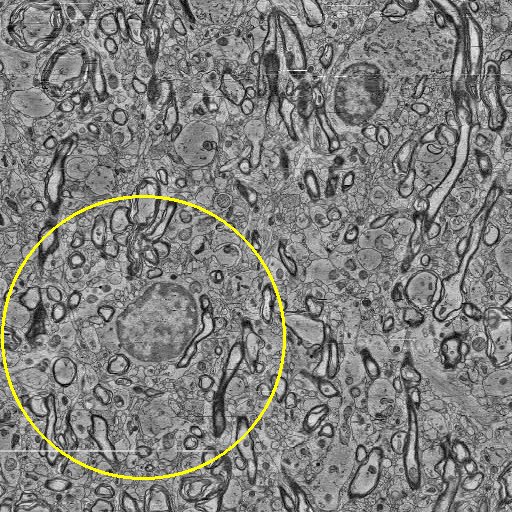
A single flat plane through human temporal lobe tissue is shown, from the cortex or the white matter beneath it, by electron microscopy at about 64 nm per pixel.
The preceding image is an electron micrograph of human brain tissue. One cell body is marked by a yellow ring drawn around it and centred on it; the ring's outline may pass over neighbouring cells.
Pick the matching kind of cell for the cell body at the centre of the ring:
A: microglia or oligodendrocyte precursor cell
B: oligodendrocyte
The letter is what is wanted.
B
